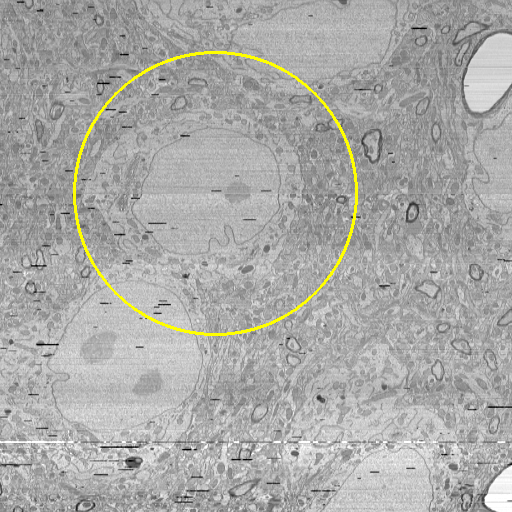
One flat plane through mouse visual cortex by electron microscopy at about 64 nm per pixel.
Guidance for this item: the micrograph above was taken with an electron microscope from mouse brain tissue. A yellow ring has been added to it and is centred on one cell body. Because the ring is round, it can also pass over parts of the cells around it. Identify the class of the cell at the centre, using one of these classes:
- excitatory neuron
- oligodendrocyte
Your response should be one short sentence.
The ring surrounds the body of an excitatory neuron.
